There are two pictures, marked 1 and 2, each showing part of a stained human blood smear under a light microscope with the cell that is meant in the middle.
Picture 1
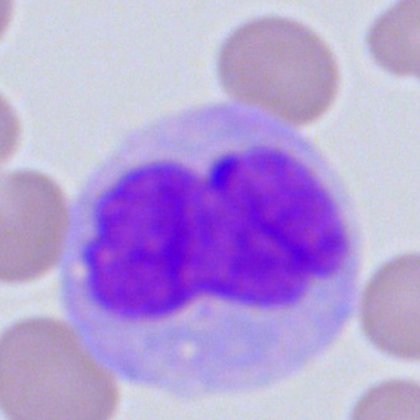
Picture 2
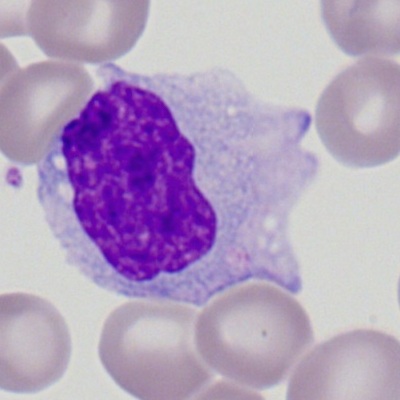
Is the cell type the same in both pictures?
yes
